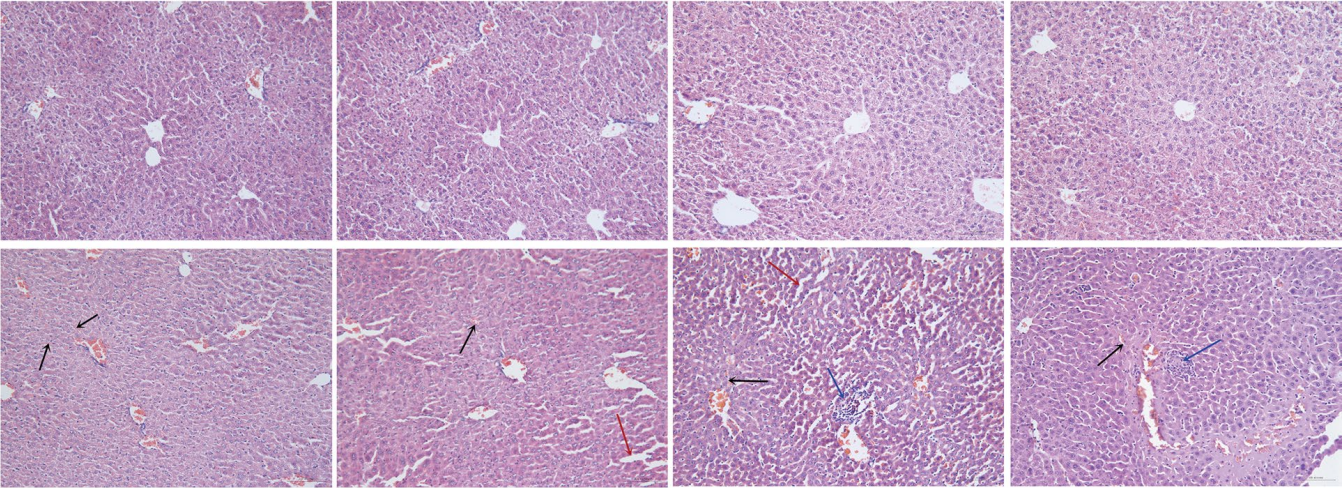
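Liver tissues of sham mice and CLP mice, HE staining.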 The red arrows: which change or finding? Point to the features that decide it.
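The red arrows point to widened clear spaces between the liver cell cords. The cords near the arrows are separated and irregular.
Edema and hepatic sinusoid structure abnormality.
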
